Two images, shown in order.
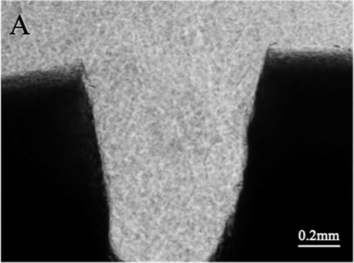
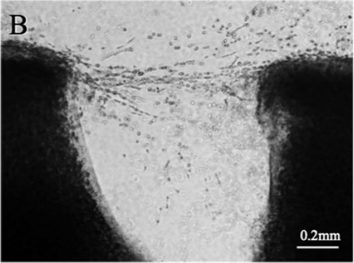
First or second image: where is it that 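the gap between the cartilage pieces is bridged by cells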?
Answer: The second image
